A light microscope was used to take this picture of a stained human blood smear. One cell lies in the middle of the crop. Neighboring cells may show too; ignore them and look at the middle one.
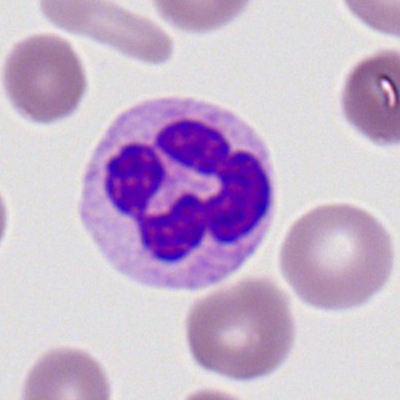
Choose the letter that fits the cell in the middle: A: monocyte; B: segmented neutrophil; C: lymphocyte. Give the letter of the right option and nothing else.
B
